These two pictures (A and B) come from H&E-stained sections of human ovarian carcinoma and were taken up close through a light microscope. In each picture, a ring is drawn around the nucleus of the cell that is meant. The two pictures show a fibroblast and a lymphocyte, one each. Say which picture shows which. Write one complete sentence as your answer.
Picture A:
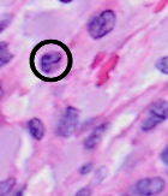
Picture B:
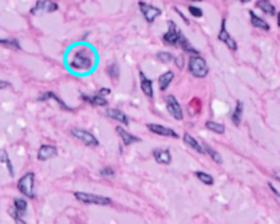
Picture A is of a lymphocyte, and picture B is of a fibroblast.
